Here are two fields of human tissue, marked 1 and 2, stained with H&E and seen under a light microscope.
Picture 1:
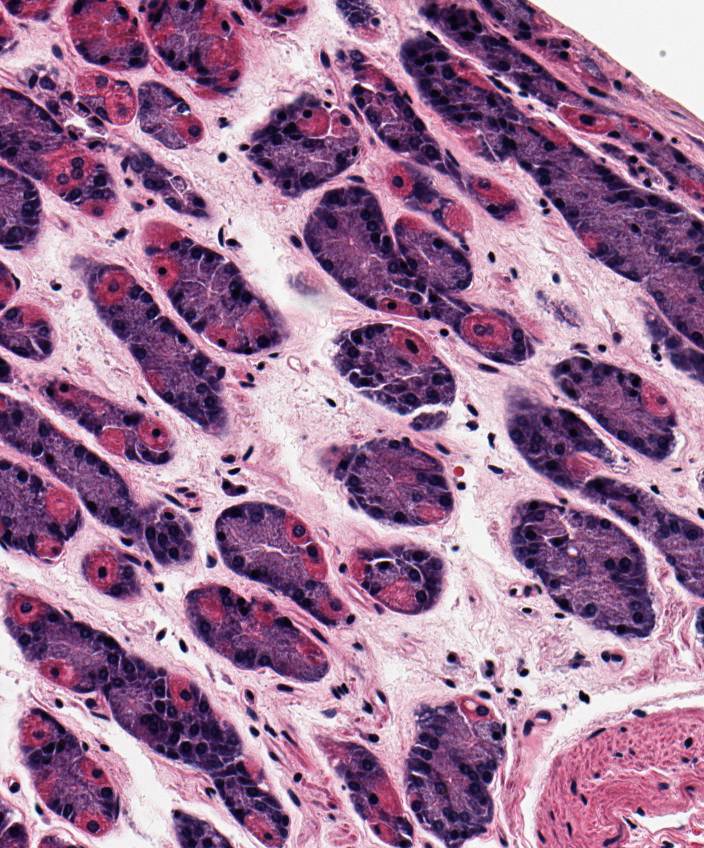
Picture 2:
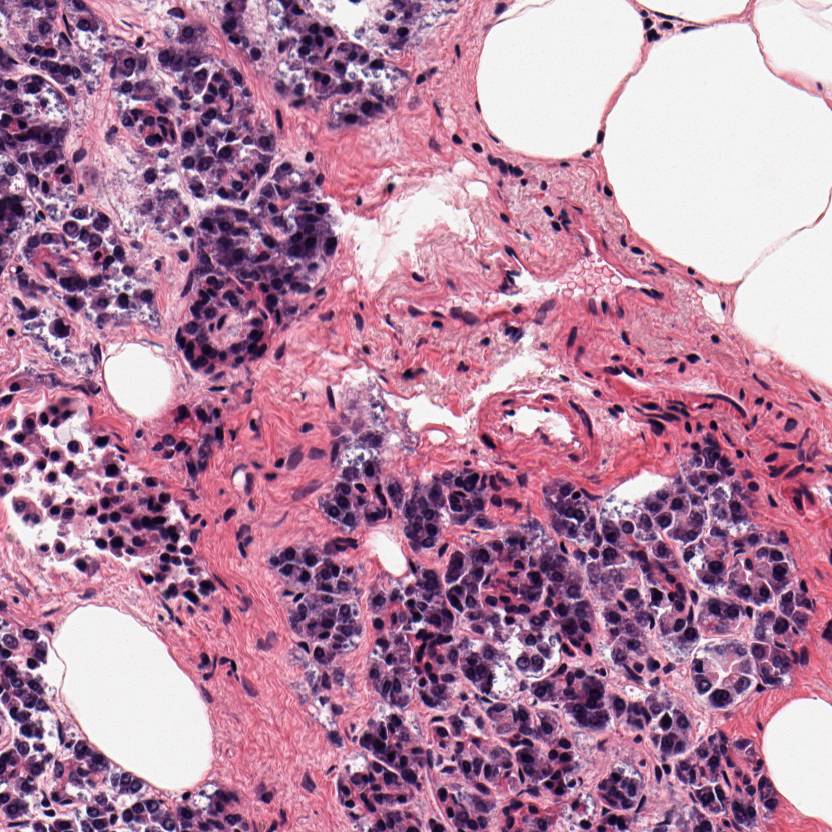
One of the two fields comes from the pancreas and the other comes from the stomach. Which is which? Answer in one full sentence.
Picture 1 comes from the stomach and picture 2 comes from the pancreas.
